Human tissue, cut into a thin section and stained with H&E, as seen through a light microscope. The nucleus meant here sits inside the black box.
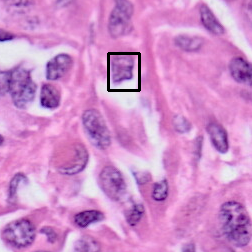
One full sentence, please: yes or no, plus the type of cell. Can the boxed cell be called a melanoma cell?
Yes, in terms of cell type, the boxed cell is a melanoma cell.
